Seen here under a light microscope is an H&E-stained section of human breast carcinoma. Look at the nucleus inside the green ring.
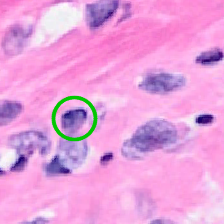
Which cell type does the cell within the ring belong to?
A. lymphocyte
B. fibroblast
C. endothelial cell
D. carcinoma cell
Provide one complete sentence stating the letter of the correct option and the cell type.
Option A is right in classifying the cell within the ring as a lymphocyte.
